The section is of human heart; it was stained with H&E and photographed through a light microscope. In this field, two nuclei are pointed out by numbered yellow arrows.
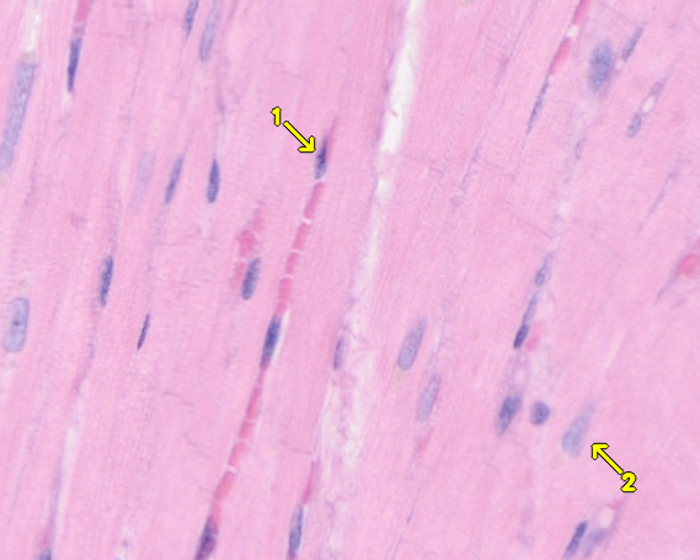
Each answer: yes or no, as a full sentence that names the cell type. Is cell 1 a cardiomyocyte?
No, the cell numbered 1 is an endothelial cell rather than a cardiomyocyte.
